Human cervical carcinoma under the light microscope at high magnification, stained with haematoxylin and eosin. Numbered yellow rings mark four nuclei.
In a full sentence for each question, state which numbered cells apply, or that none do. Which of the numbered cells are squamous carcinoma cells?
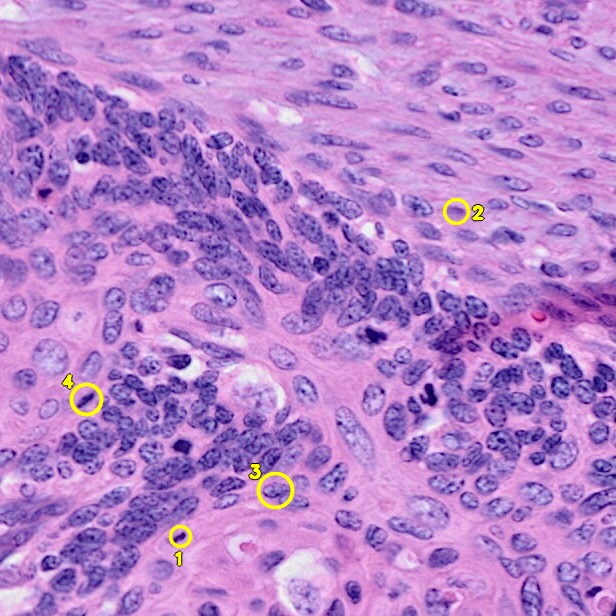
In this section, the cells numbered 1, 3 and 4 are squamous carcinoma cells.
